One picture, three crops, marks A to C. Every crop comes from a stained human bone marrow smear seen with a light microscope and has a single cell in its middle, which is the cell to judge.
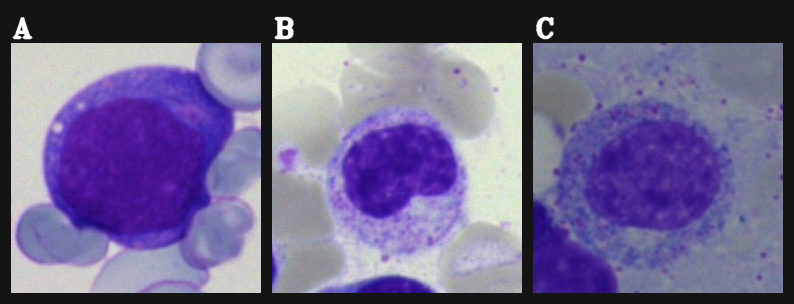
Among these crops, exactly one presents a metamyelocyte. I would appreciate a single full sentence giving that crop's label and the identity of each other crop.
Whereas crop A is a blast and crop C is a myelocyte, the cell at the centre of crop B is a metamyelocyte.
